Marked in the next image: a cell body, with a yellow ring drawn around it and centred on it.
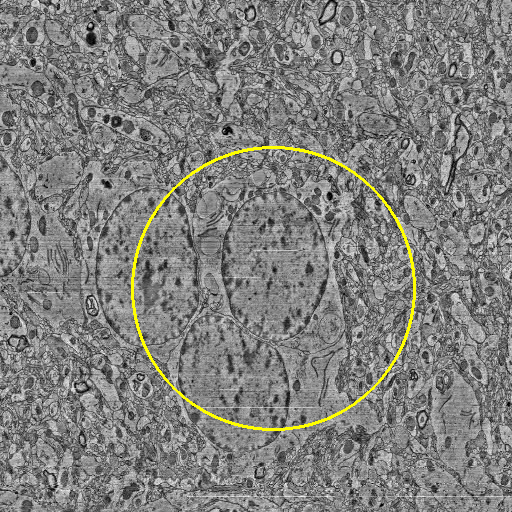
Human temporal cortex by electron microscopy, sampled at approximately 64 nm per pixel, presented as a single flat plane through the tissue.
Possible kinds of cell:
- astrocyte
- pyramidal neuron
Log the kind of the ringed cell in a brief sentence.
The ringed cell body is that of an astrocyte.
